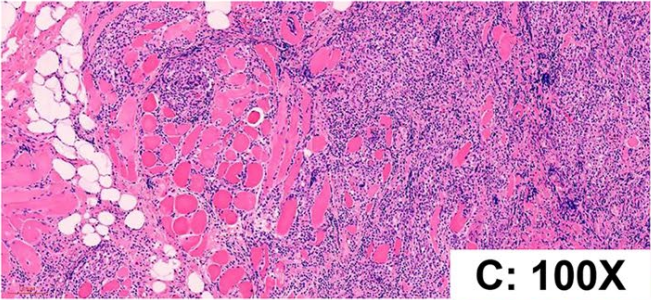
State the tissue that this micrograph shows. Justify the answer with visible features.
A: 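Striated muscle and adipose tissue. Bright pink polygonal and elongated fibres lie scattered among densely packed dark cells. Clear round empty vacuoles of fat sit at the left edge. The dense cellular infiltrate extends between the pink fibres.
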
